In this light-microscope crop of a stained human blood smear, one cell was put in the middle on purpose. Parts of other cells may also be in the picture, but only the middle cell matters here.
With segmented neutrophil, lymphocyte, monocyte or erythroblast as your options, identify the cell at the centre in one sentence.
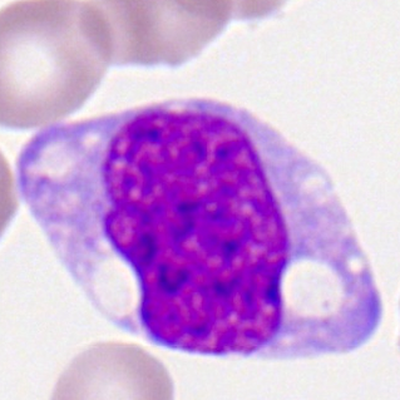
The middle cell in this particular crop is a monocyte.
